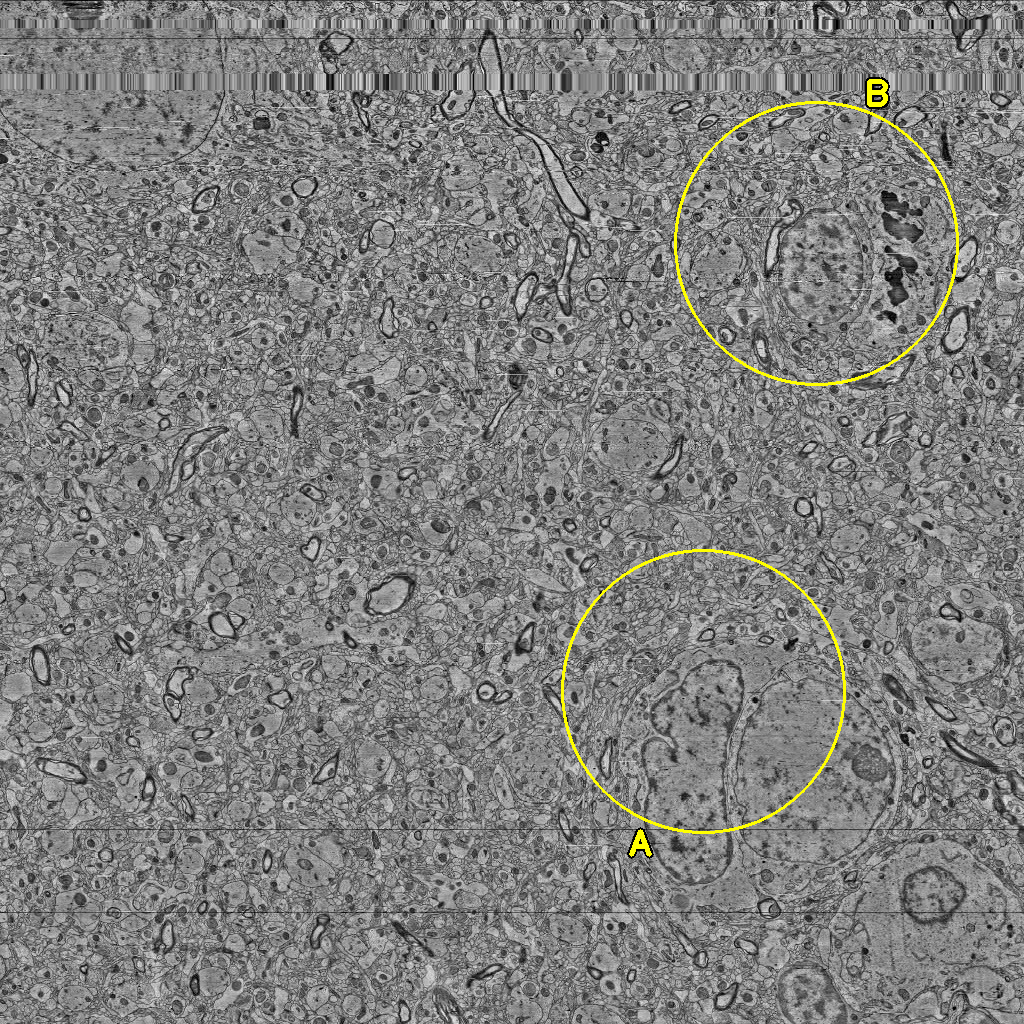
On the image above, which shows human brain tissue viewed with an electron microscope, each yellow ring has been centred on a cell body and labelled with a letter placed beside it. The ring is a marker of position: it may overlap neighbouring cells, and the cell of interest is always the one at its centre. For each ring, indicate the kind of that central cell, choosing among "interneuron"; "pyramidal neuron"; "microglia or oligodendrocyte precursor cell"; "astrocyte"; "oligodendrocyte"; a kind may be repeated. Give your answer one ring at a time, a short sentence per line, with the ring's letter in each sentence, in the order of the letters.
Ring A shows a microglial cell or oligodendrocyte precursor cell at its centre.
Ring B shows an oligodendrocyte at its centre.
